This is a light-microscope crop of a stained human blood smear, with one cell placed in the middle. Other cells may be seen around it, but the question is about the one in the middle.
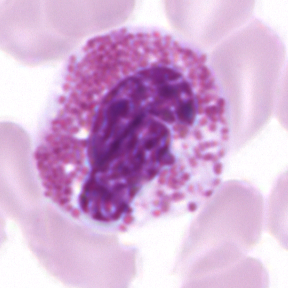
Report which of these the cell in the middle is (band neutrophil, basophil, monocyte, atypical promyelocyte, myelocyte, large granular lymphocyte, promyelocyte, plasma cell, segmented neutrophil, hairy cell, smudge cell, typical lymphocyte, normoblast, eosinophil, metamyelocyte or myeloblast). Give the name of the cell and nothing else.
eosinophil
